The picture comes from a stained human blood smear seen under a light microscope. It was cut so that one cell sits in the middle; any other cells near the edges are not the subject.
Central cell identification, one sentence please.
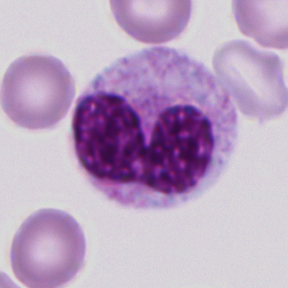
The central cell, amid any neighbouring cells, is a band neutrophil.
